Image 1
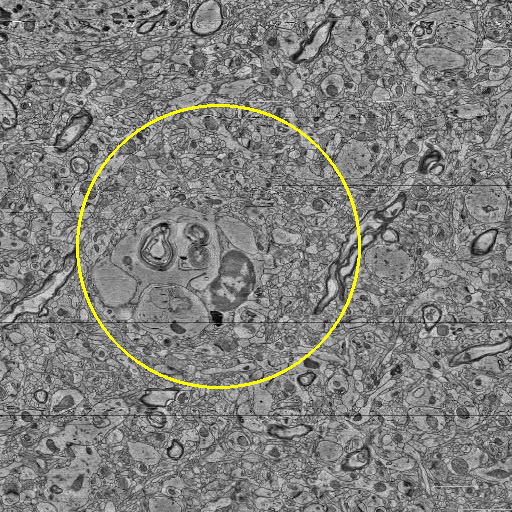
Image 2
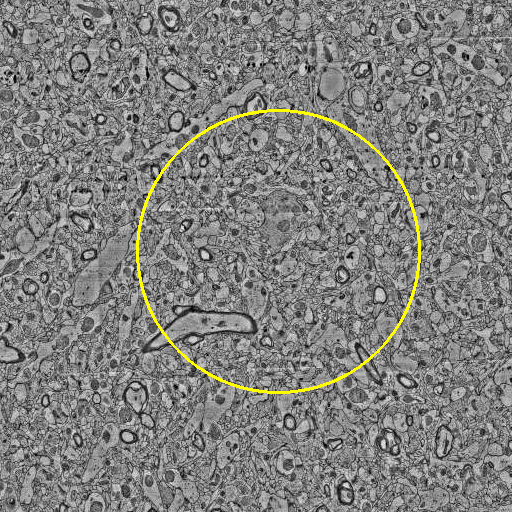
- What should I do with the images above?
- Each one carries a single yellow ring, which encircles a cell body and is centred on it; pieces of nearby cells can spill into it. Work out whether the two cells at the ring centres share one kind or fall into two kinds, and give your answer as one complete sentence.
The ring-centre cells of Image 1 and Image 2 fall into two kinds.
